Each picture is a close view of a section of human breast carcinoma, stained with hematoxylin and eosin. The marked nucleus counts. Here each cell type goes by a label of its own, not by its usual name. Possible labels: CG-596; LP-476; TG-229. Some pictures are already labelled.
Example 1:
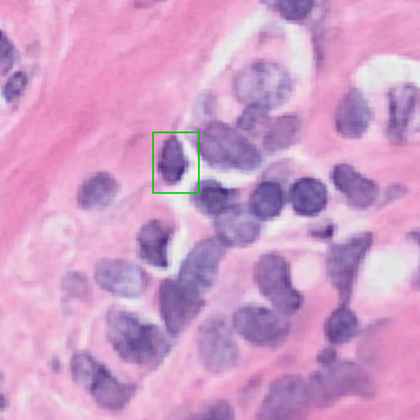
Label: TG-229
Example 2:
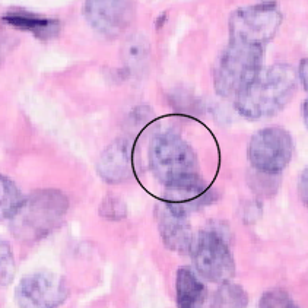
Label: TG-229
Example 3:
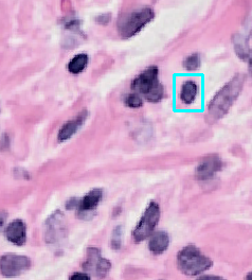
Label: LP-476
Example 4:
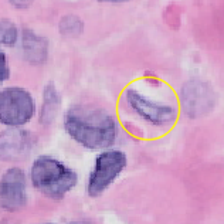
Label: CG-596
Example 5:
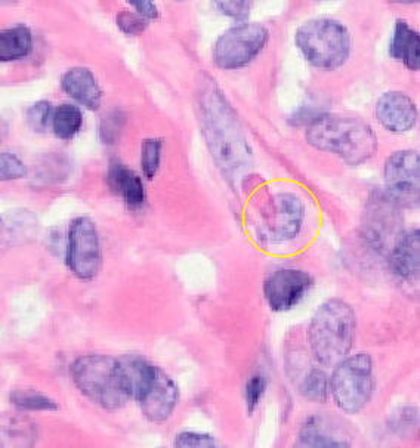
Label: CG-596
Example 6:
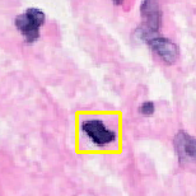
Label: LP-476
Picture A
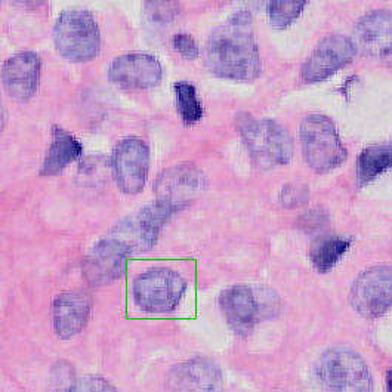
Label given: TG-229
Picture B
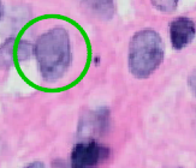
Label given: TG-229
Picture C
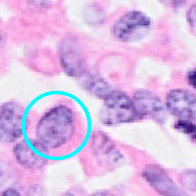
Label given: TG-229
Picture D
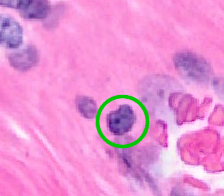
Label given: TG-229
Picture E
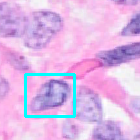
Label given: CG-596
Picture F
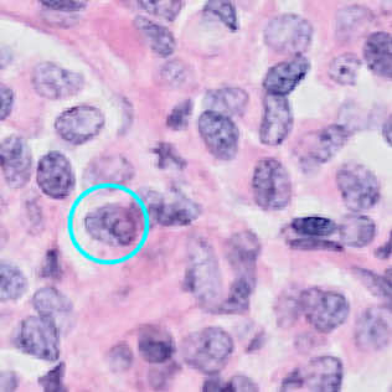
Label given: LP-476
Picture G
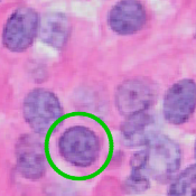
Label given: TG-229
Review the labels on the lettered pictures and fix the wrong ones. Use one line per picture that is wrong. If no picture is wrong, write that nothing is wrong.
D: not TG-229 but LP-476
F: not LP-476 but TG-229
